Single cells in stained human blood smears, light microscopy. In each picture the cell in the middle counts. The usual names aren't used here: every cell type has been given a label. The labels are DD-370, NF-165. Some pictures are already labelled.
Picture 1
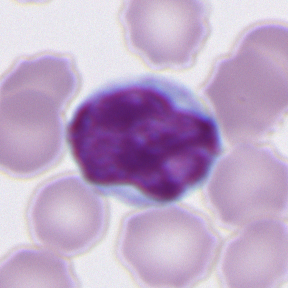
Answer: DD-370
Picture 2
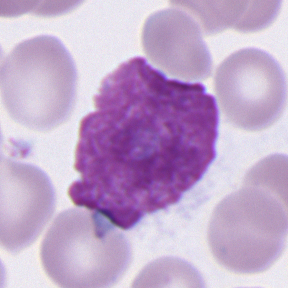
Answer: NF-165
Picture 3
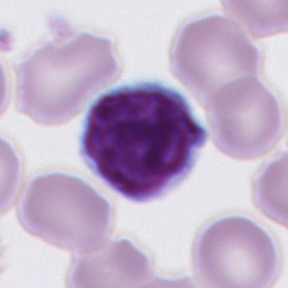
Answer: DD-370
